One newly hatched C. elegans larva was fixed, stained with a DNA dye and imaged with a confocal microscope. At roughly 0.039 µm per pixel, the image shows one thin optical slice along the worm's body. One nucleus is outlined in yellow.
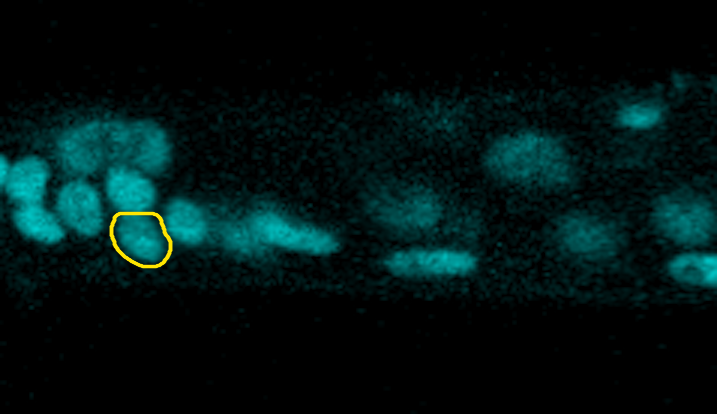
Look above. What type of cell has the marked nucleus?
neuron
